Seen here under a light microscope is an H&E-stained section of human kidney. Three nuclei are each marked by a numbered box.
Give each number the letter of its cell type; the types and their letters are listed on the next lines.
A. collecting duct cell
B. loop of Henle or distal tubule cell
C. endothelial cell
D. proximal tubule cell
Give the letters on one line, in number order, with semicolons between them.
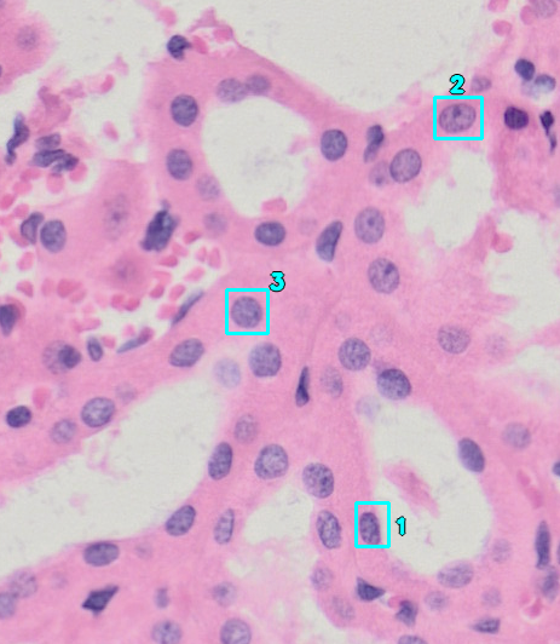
B; D; B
